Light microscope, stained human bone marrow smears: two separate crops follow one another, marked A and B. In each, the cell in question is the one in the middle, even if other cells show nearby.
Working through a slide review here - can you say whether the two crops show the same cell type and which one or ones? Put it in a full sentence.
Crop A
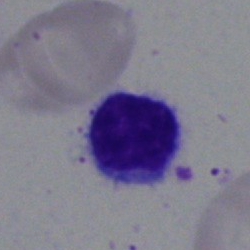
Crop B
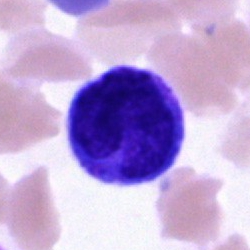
No, the central cell of crop A is a lymphocyte; that of crop B is a monocyte.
